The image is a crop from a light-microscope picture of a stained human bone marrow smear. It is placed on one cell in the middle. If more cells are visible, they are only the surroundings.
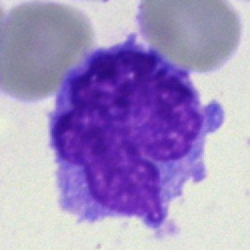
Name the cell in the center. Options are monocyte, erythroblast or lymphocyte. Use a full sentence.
The identification for the central cell is a monocyte.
